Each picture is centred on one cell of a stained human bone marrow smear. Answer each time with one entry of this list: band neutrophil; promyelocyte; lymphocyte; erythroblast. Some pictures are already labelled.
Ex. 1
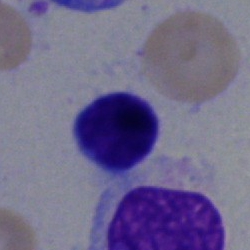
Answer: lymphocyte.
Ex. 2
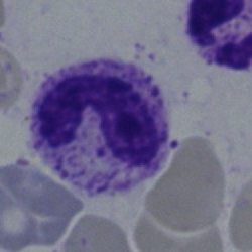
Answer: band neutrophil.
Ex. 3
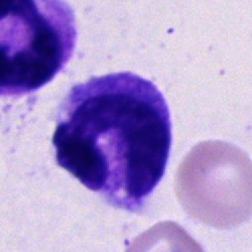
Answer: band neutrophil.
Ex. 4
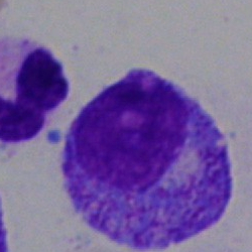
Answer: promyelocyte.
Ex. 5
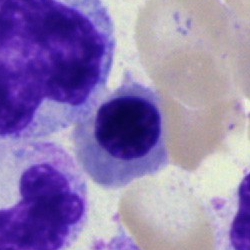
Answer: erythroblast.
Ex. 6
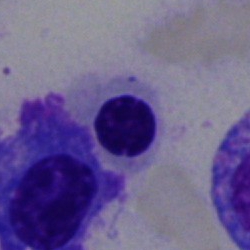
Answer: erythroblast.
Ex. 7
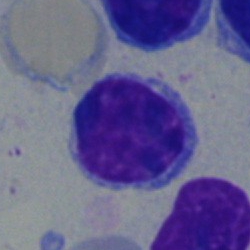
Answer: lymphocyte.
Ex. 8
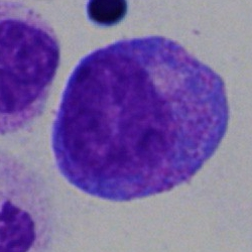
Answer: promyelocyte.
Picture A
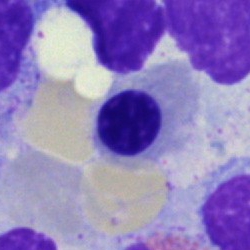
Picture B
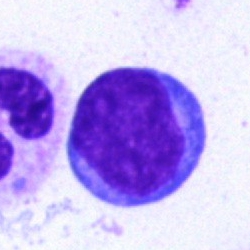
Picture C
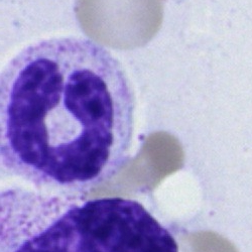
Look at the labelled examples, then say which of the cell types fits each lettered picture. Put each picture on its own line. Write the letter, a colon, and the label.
A: erythroblast.
B: lymphocyte.
C: band neutrophil.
